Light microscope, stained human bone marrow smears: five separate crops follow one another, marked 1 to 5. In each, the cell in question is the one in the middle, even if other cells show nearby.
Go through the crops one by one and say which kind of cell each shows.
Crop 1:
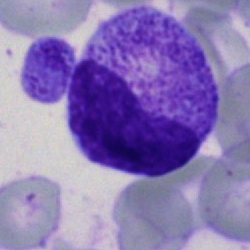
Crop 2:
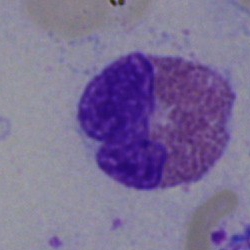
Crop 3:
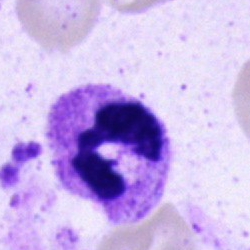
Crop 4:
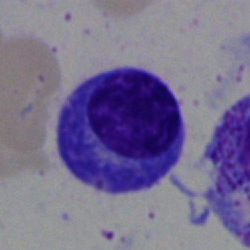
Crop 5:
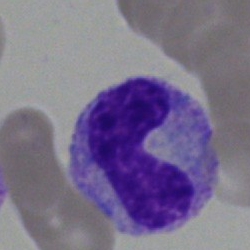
1: metamyelocyte
2: eosinophil
3: segmented neutrophil
4: plasma cell
5: band neutrophil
